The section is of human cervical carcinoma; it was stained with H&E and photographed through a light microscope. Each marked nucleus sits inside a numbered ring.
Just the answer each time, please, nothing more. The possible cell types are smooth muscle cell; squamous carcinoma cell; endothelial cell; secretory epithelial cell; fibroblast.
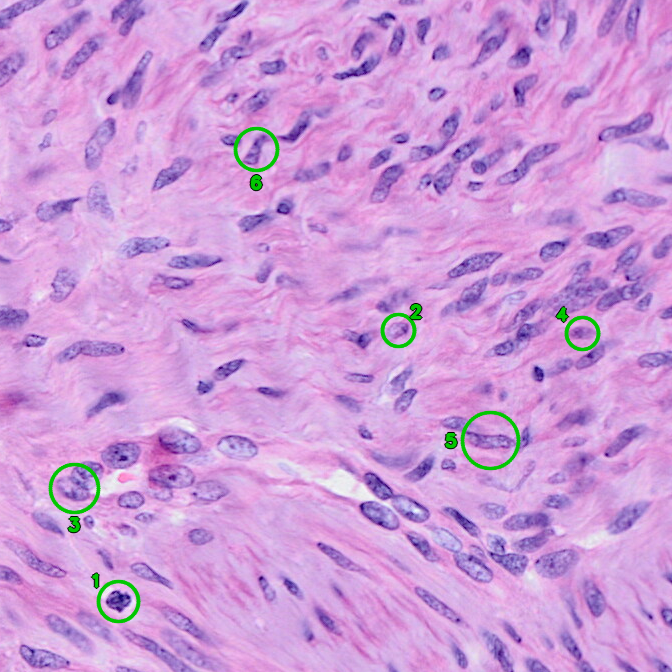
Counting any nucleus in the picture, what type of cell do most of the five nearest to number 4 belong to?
smooth muscle cell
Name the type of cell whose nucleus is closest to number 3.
endothelial cell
